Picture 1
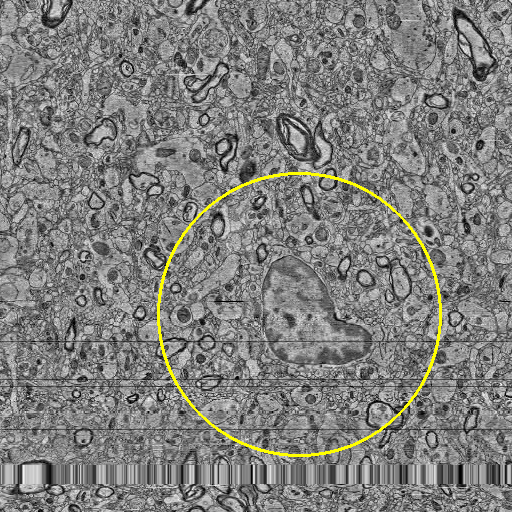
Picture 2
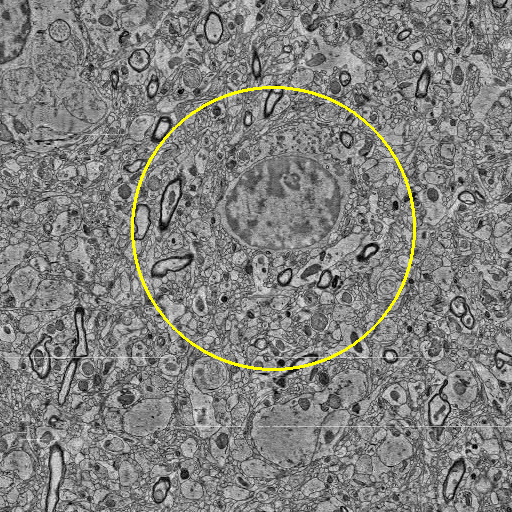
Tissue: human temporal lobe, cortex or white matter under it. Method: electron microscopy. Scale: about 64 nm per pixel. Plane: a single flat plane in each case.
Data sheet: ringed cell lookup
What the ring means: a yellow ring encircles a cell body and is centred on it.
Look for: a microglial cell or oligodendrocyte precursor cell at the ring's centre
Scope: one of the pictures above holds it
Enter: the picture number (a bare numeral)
1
